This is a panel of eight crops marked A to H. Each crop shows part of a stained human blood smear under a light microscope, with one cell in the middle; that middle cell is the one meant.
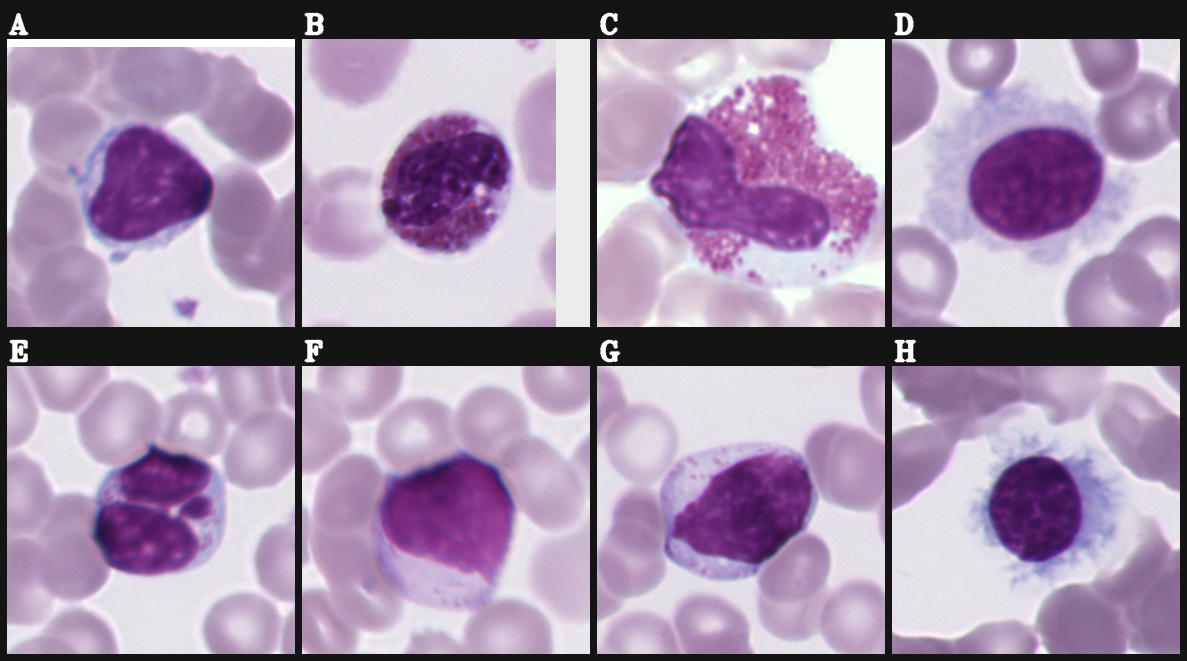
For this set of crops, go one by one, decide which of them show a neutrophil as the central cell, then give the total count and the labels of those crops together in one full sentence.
From every crop neutrophils are absent, so the count is zero.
